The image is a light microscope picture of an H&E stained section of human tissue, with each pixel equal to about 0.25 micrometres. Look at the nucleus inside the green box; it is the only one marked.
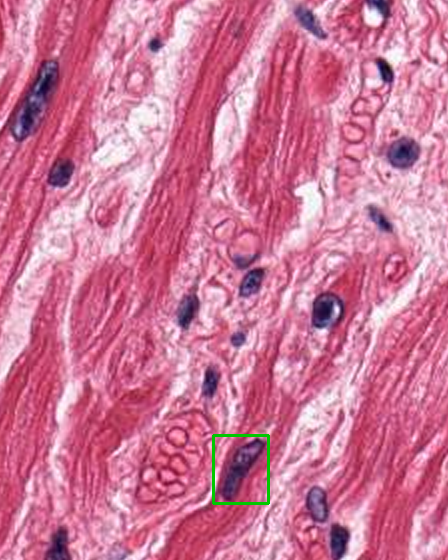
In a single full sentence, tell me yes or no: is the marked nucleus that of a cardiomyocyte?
Yes, the marked nucleus is held by a cardiomyocyte.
